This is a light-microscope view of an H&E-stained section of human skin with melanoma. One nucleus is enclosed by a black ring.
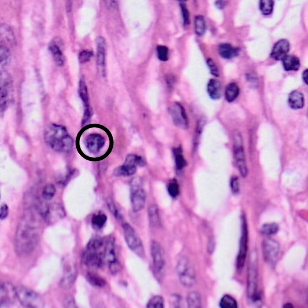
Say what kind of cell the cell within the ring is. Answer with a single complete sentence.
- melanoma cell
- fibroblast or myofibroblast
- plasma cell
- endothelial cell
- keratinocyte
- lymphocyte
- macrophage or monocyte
In the context of this tissue, the cell within the ring is a lymphocyte.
